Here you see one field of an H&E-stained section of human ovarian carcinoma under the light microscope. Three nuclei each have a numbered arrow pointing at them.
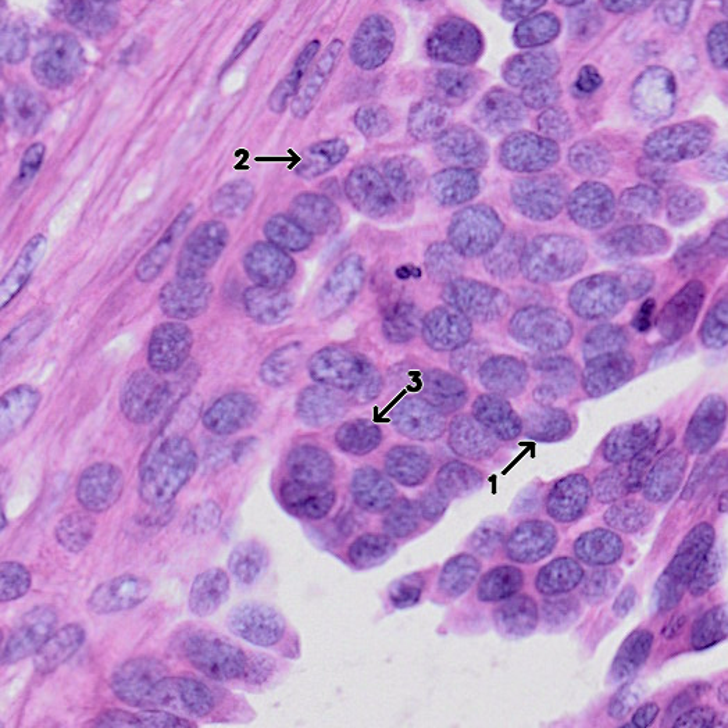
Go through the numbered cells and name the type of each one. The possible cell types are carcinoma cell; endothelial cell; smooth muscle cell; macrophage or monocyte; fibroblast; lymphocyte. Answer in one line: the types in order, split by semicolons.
carcinoma cell; macrophage or monocyte; carcinoma cell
